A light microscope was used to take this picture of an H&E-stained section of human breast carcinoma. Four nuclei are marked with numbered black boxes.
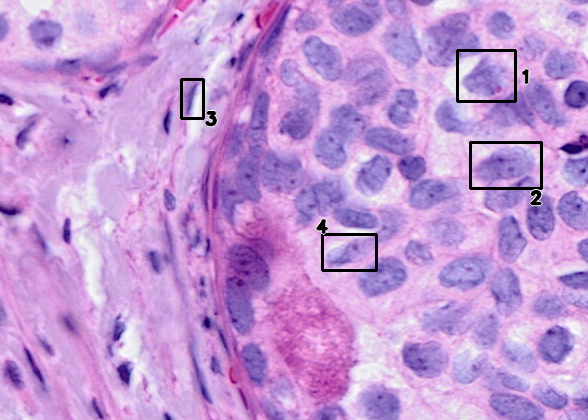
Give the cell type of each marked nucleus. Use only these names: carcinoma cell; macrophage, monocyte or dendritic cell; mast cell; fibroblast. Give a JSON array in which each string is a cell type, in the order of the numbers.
["carcinoma cell", "carcinoma cell", "fibroblast", "carcinoma cell"]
